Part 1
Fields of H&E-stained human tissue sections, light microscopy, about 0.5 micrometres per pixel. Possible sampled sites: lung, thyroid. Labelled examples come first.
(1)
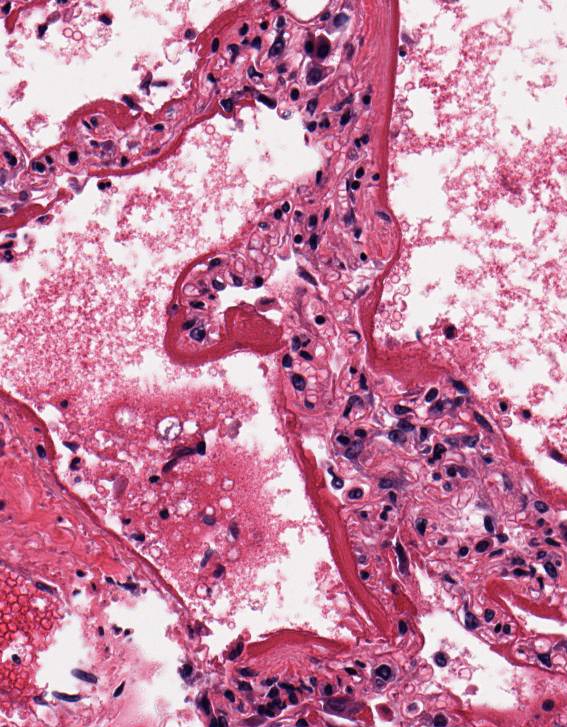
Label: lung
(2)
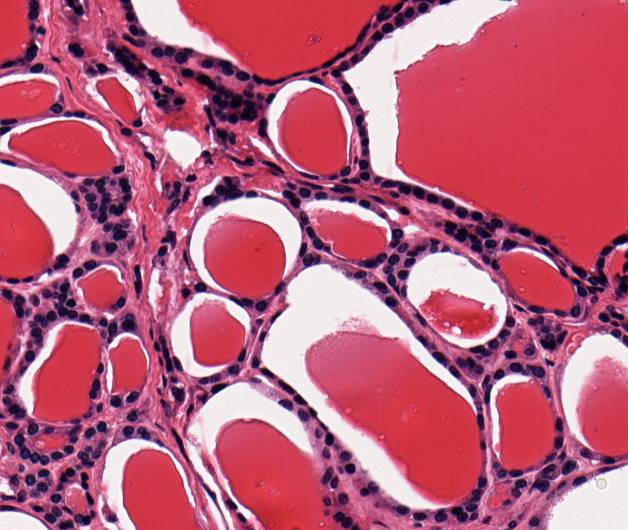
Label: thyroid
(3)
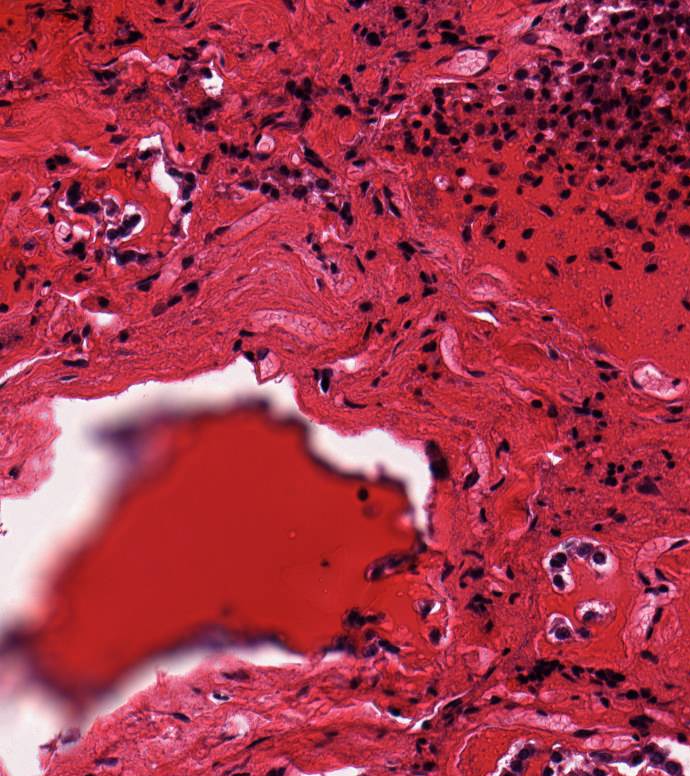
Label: thyroid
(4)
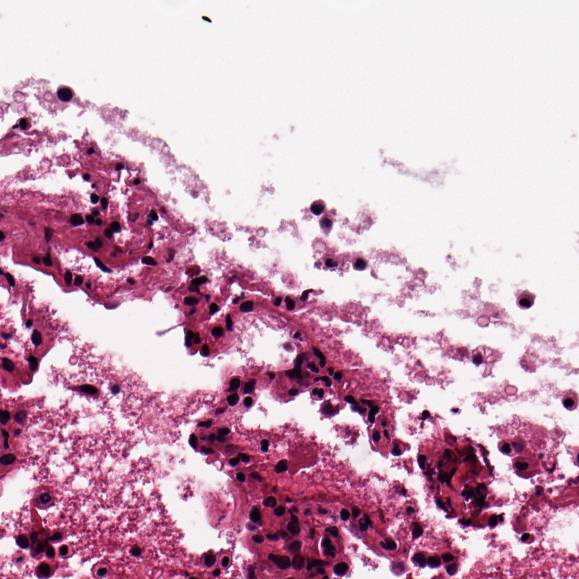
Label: lung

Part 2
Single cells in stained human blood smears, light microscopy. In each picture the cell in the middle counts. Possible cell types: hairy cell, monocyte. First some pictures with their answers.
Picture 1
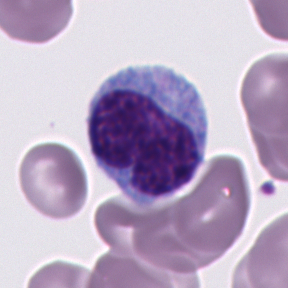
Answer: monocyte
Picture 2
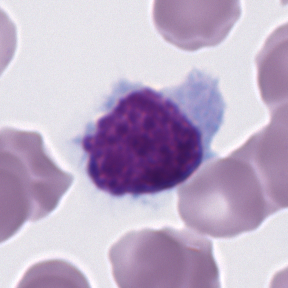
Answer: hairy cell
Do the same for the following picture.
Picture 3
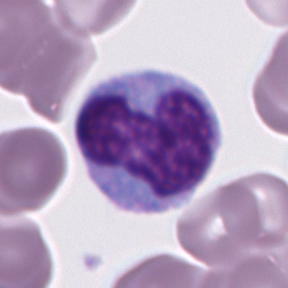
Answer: monocyte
